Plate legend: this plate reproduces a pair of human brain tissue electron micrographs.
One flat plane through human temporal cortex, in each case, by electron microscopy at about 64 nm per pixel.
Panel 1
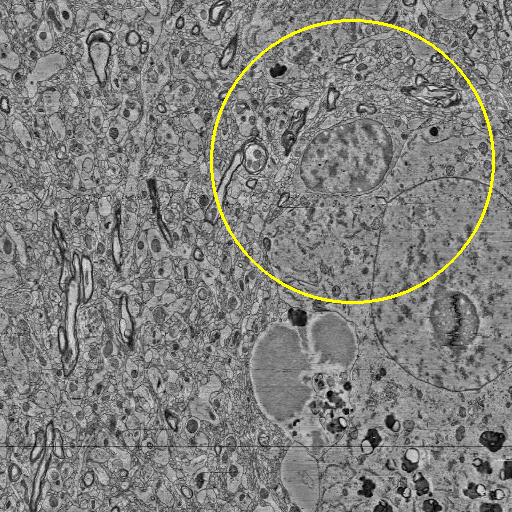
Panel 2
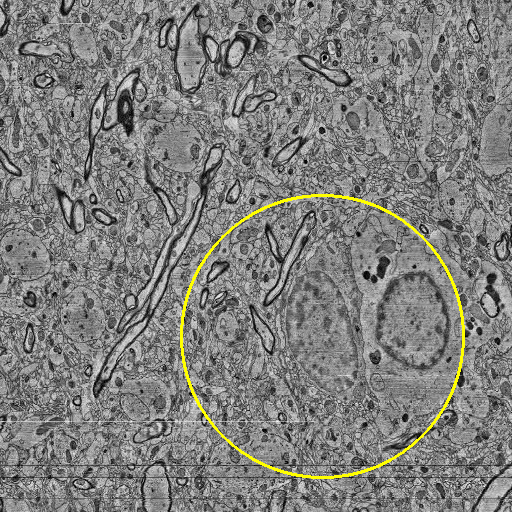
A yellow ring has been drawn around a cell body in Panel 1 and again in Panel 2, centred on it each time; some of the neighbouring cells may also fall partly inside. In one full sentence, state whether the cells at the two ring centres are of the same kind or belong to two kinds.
The ring-centred cells of Panel 1 and Panel 2 are of the same kind.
